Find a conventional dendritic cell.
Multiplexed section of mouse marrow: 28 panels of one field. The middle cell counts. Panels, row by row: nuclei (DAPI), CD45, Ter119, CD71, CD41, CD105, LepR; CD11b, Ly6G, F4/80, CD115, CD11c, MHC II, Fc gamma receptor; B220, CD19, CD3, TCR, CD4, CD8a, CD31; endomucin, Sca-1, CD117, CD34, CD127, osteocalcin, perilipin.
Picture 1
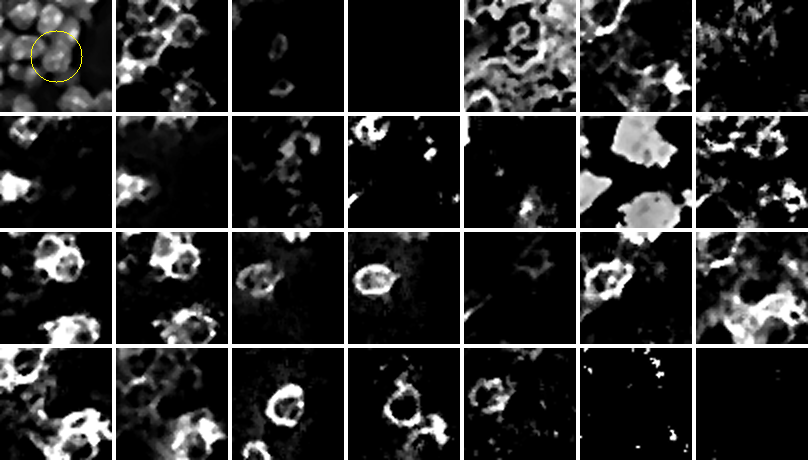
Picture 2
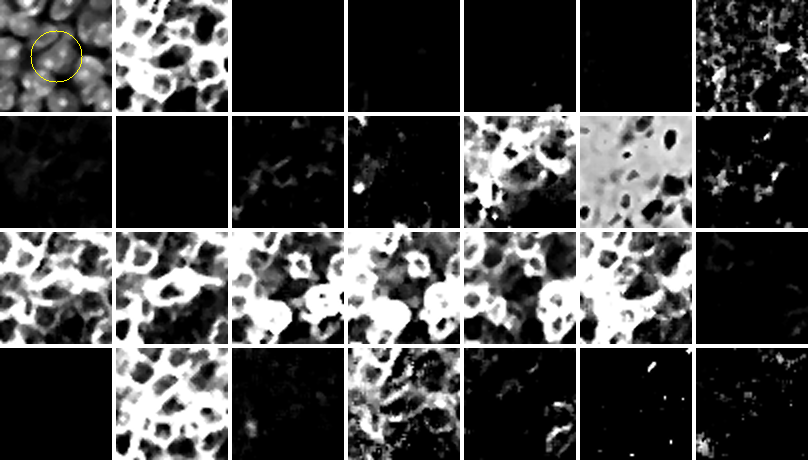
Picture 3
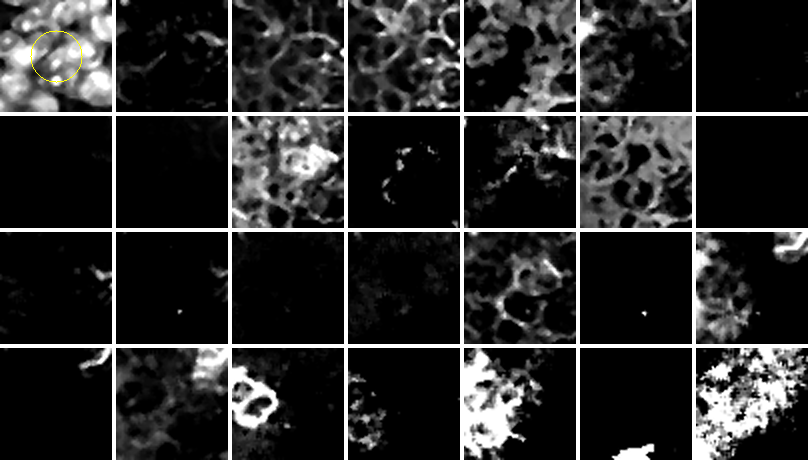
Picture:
2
